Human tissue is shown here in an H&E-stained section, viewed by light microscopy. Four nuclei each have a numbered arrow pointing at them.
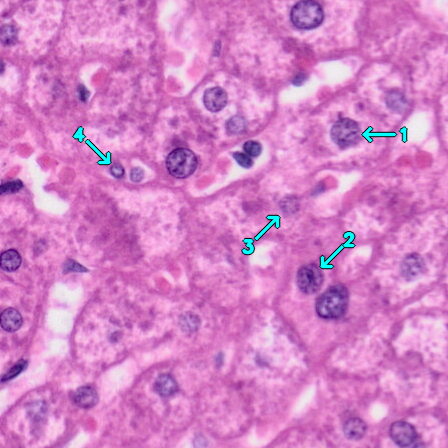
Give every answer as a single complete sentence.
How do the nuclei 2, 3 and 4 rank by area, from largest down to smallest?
By area, largest first, they run 2, 3, 4.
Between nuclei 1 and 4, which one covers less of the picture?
Nucleus 4 covers less area, with nucleus 1 about 4 times as large.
